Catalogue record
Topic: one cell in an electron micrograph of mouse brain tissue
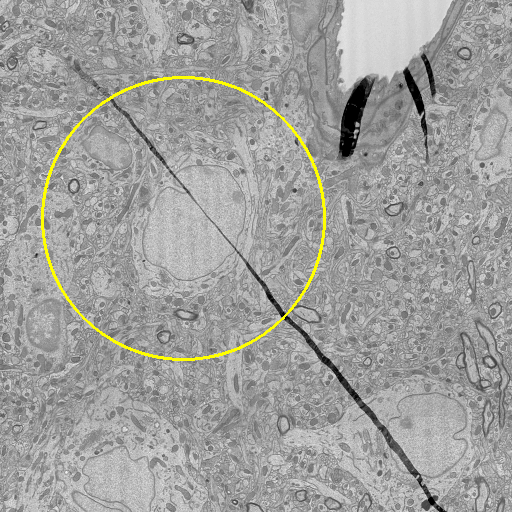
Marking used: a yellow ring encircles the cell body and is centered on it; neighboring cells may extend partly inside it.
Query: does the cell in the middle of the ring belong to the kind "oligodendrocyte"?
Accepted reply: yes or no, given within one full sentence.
No, the cell centered in the ring in the picture is of another kind.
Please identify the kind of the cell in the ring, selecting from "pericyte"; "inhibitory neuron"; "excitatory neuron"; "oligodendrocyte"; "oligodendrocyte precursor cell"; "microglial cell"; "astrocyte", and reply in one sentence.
Instead, the cell inside the ring is an excitatory neuron.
